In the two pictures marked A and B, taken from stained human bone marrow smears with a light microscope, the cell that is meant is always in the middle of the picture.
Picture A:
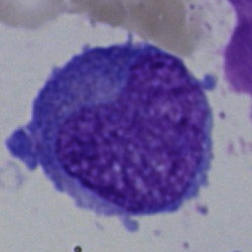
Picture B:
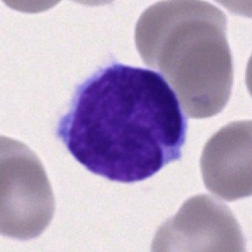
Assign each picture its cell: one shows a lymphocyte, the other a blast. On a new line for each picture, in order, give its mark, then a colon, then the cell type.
A: blast
B: lymphocyte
